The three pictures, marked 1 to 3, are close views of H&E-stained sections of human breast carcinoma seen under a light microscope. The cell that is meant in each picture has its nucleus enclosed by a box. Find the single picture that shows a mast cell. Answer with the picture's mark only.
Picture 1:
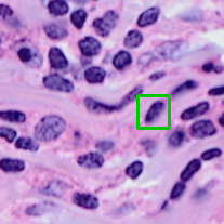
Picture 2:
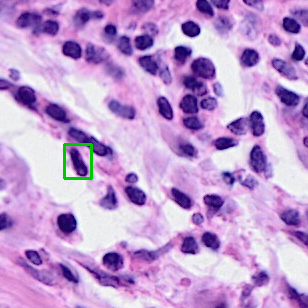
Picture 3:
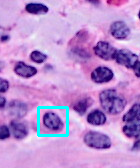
3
